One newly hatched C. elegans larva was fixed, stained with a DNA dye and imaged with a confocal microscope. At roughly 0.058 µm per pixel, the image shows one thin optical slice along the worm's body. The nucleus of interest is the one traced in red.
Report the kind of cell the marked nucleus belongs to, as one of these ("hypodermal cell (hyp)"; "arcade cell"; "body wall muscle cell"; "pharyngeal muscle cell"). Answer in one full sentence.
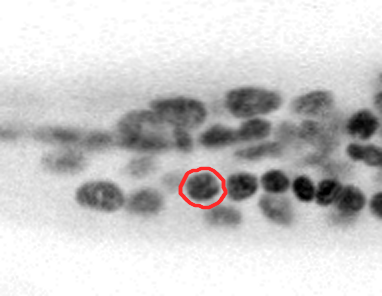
It is the nucleus of an arcade cell.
